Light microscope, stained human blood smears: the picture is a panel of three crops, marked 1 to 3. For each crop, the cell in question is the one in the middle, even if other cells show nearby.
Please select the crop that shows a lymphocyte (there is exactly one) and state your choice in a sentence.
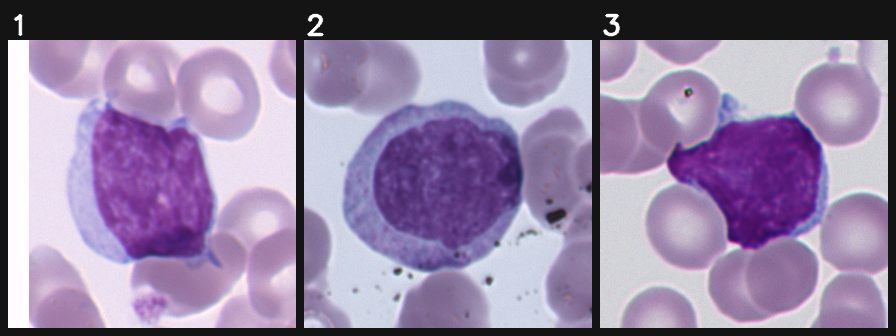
The one showing a lymphocyte is the crop labelled 3.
